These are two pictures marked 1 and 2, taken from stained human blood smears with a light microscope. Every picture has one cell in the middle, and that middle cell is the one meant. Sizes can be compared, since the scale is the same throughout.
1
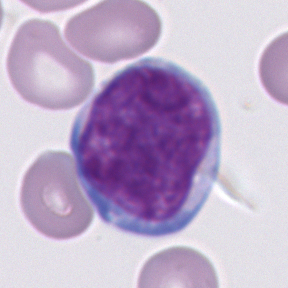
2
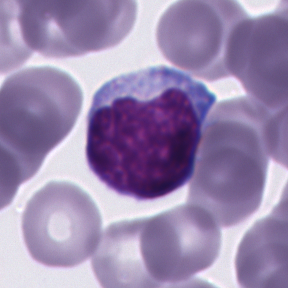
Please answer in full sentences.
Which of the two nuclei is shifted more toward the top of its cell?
In crop 1 the nucleus is shifted more toward the top.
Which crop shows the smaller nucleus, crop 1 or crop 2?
It is the nucleus in crop 2; the one in crop 1 has about 1.5 times its area.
